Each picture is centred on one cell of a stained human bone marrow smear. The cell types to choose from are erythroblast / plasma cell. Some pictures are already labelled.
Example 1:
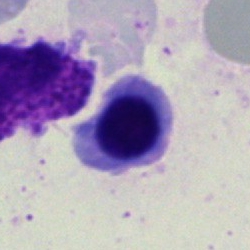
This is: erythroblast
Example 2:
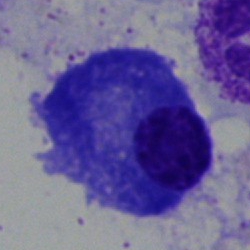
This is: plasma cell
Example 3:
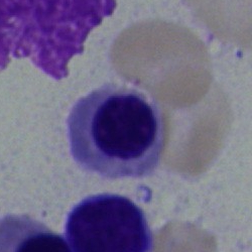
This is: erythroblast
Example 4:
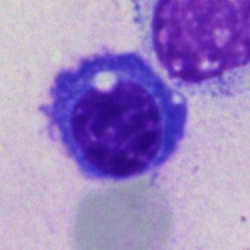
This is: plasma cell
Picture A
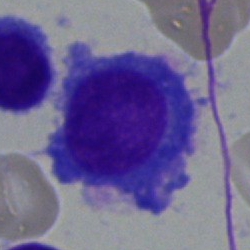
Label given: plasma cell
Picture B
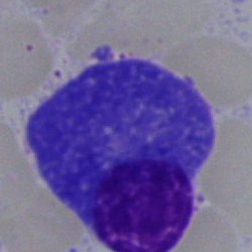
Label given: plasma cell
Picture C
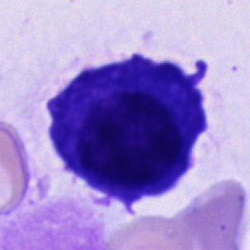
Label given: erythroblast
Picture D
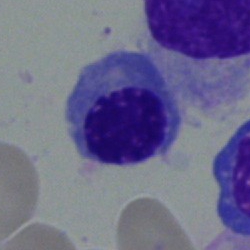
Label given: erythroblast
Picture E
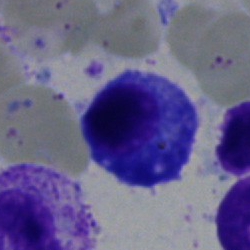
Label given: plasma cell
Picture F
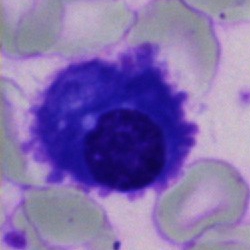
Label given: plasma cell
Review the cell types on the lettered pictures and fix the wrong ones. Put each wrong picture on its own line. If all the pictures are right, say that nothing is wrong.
C: change erythroblast to plasma cell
